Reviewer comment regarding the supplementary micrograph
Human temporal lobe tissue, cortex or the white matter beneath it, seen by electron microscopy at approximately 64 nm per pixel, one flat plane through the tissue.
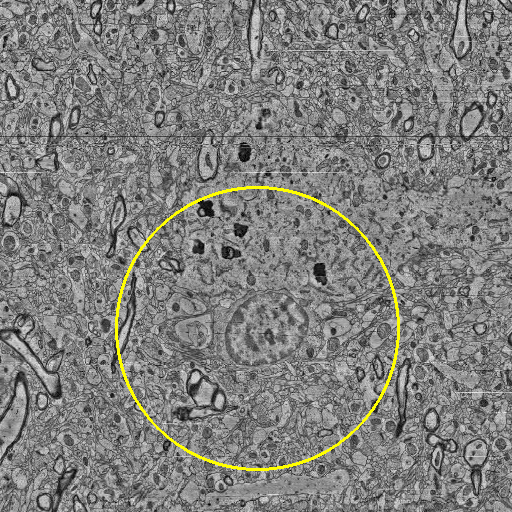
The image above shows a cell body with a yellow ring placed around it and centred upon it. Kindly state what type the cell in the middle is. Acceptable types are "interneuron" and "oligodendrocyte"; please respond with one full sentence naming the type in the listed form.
In the image above, the cell on which the yellow ring is centred is an oligodendrocyte.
